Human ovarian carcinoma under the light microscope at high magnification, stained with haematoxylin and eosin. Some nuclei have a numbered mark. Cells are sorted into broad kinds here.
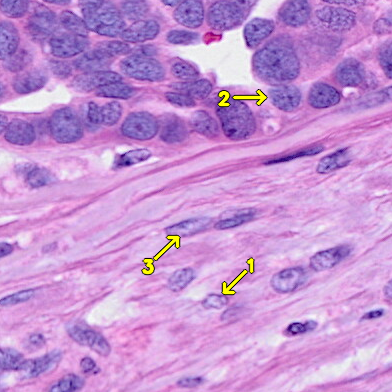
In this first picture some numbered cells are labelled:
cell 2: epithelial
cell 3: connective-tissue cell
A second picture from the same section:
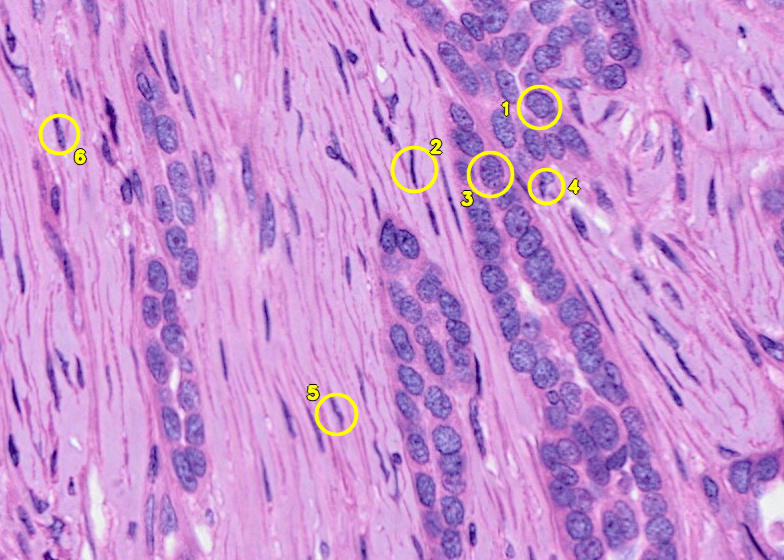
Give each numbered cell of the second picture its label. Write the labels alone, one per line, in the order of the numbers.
epithelial
connective-tissue cell
epithelial
connective-tissue cell
connective-tissue cell
connective-tissue cell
